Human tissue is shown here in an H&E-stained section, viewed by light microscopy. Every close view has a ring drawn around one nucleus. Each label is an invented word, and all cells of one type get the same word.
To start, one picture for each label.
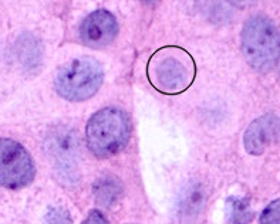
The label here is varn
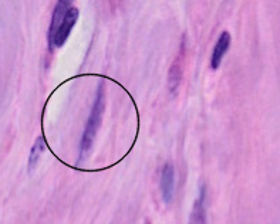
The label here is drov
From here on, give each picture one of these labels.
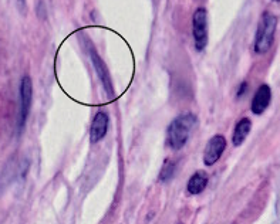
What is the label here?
drov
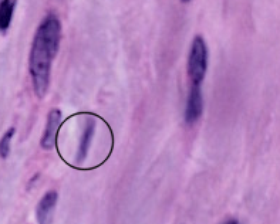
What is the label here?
drov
